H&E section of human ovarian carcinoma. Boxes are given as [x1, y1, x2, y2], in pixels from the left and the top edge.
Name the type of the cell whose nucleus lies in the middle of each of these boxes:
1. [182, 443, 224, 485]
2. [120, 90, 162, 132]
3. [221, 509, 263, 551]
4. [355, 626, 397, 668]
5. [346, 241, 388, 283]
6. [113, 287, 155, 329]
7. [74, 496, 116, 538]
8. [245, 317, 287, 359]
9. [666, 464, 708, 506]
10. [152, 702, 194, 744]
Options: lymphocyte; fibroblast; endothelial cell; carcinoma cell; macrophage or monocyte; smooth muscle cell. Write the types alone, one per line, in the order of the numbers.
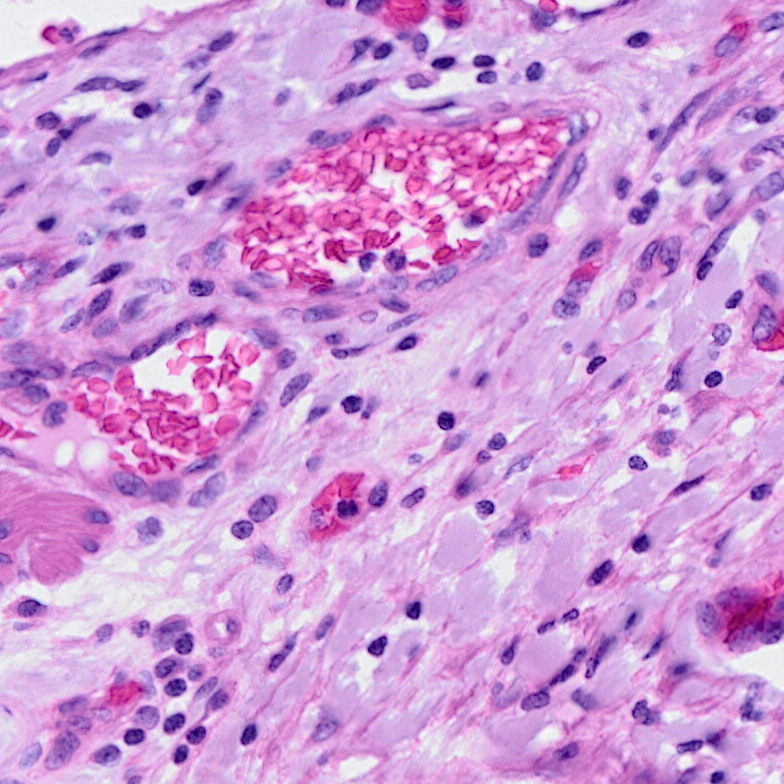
endothelial cell
lymphocyte
lymphocyte
lymphocyte
lymphocyte
fibroblast
smooth muscle cell
endothelial cell
fibroblast
lymphocyte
